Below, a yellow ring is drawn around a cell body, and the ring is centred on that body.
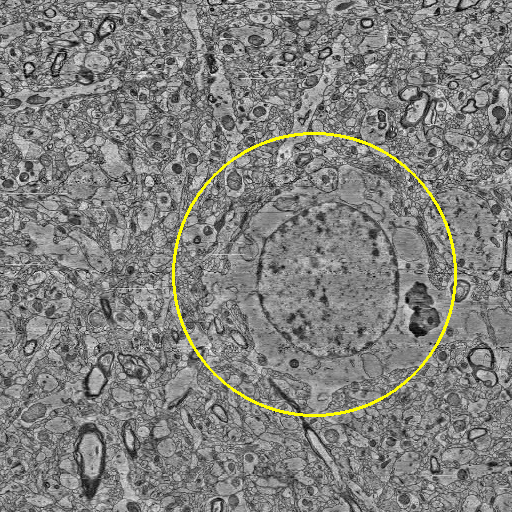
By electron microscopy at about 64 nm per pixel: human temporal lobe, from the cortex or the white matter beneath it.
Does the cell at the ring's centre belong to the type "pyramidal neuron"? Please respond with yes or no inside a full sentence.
No, the centred cell inside the ring shown in the picture is of a different type.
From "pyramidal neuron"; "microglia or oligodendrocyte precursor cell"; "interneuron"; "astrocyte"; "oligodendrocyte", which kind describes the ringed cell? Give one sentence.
The cell marked by the ring is an astrocyte.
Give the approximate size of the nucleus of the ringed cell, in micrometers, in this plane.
The nucleus appears roughly 10 by 9 micrometres in this plane.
